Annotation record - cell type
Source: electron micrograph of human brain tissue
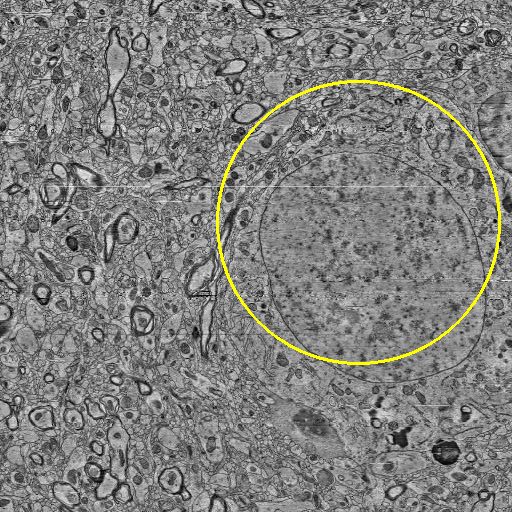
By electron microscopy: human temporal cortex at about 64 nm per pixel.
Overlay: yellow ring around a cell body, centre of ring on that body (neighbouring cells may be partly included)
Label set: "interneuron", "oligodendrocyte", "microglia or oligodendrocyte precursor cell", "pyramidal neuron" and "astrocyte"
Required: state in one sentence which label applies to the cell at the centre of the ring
This cell should be labelled as a pyramidal neuron.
